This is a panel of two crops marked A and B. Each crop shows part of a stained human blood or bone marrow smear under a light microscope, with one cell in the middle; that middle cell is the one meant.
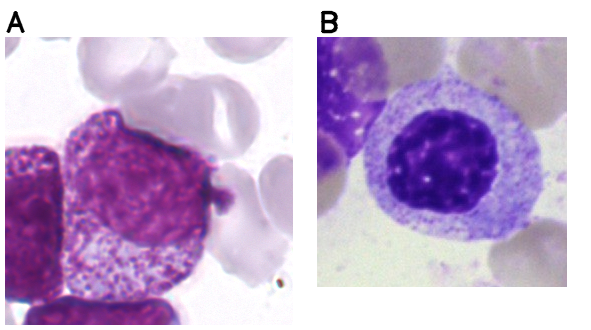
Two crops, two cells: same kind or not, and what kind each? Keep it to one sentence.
Yes, both crops, not just one, show myelocytes.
